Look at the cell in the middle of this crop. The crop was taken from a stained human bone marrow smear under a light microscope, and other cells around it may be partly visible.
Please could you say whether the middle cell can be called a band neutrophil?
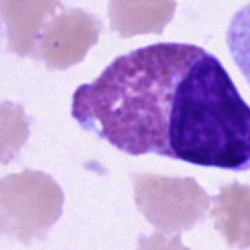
no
